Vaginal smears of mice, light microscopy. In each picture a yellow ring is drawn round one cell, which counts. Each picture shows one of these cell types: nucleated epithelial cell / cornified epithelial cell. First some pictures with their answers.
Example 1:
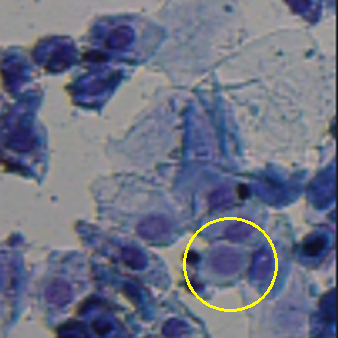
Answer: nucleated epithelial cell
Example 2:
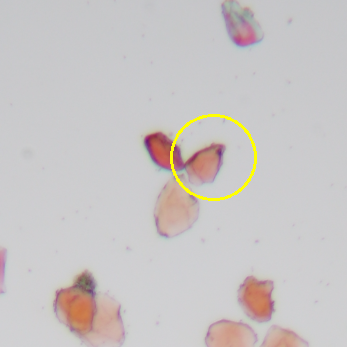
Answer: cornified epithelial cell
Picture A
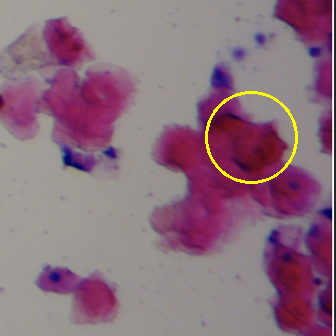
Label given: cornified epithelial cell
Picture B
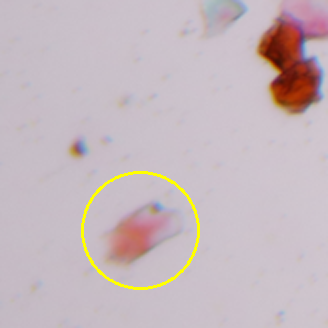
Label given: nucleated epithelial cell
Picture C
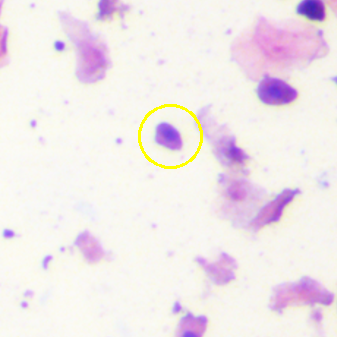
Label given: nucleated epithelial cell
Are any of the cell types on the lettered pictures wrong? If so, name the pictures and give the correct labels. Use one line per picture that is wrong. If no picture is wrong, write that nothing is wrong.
B: cornified epithelial cell, not nucleated epithelial cell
